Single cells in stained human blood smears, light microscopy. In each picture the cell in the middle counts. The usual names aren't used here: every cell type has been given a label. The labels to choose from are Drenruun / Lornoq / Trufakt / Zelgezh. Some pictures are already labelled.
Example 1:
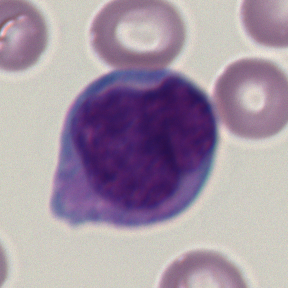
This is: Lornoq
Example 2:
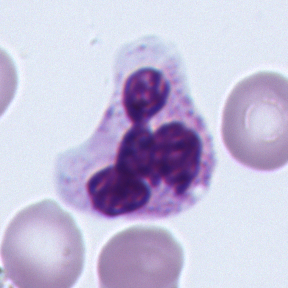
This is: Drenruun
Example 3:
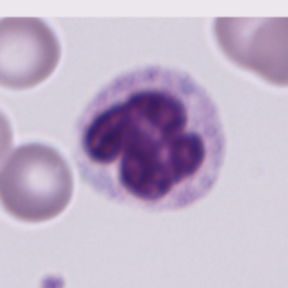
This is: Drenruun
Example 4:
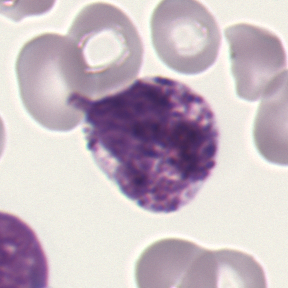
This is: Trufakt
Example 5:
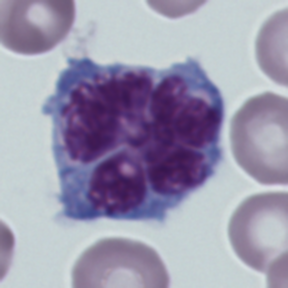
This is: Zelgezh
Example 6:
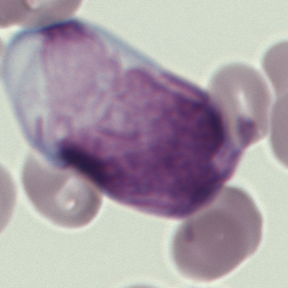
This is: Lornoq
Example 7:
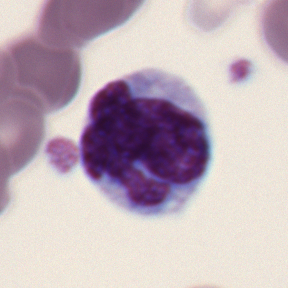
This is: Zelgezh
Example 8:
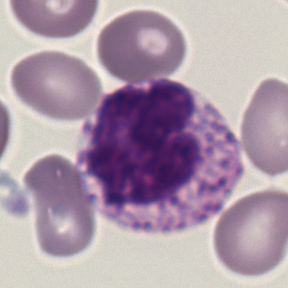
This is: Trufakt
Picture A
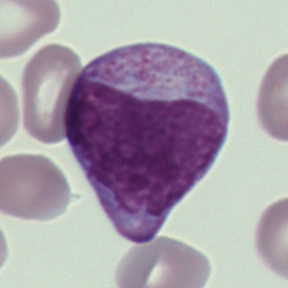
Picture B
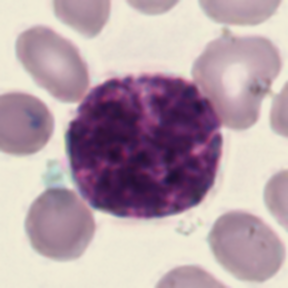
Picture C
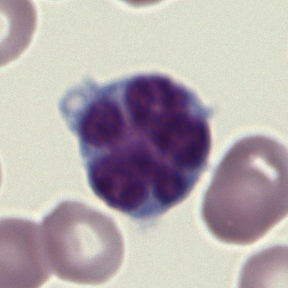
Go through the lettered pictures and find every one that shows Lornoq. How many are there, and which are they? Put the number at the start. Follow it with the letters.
Count: 1 (A)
